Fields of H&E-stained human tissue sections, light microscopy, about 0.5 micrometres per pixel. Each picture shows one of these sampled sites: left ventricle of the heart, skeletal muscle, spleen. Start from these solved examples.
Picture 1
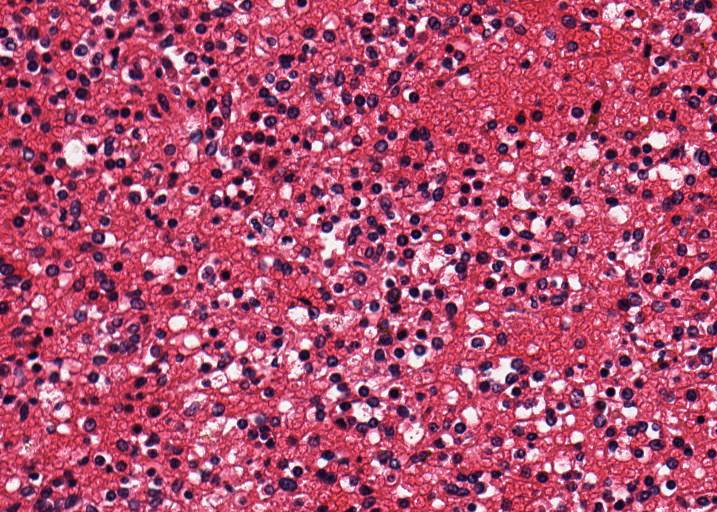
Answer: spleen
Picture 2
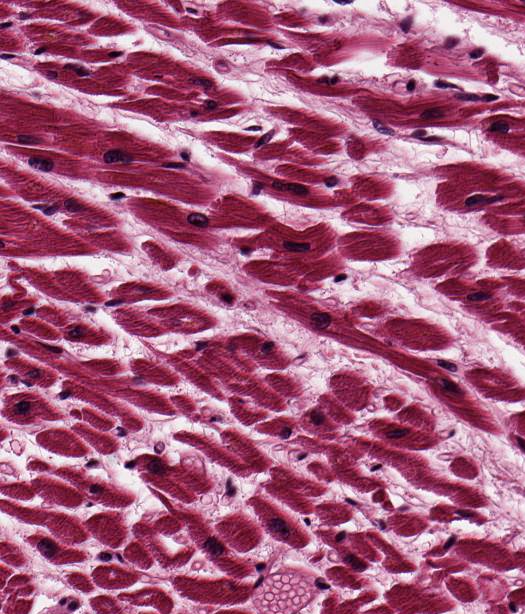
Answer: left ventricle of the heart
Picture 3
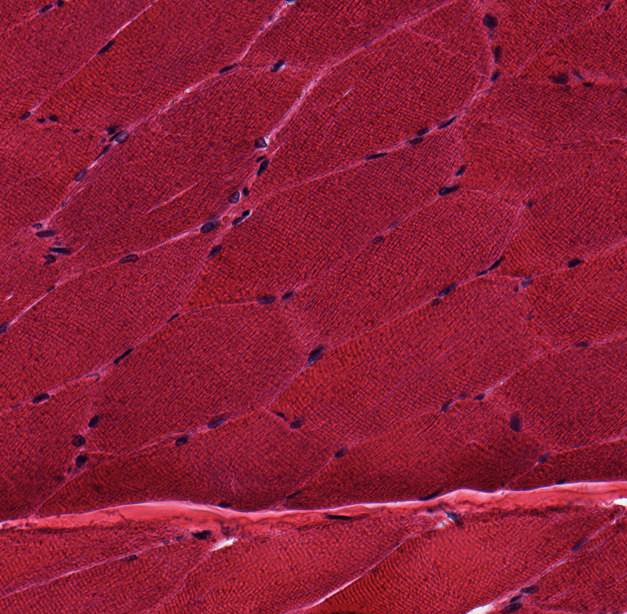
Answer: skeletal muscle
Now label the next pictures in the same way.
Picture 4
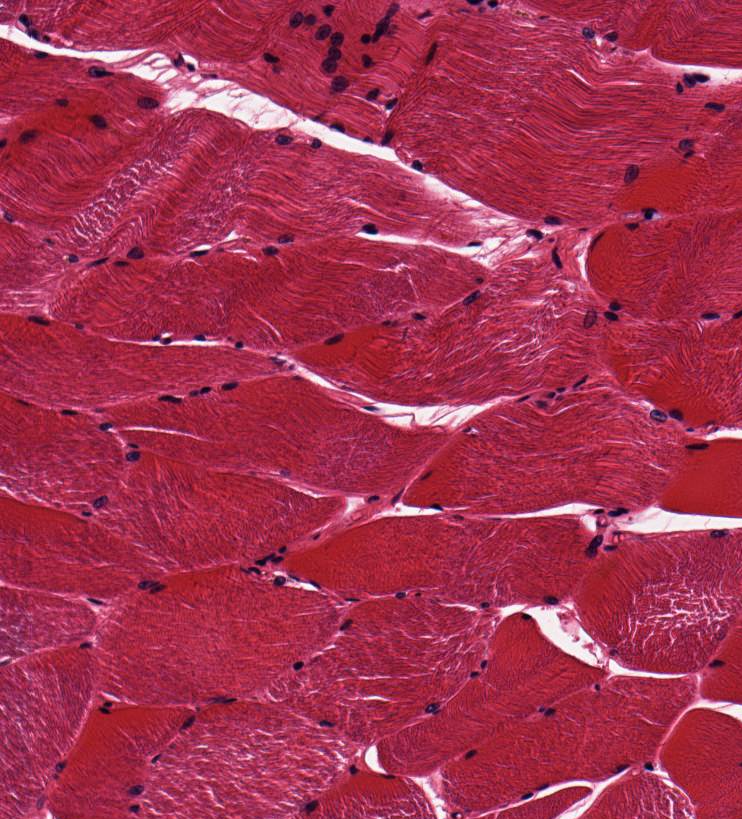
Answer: skeletal muscle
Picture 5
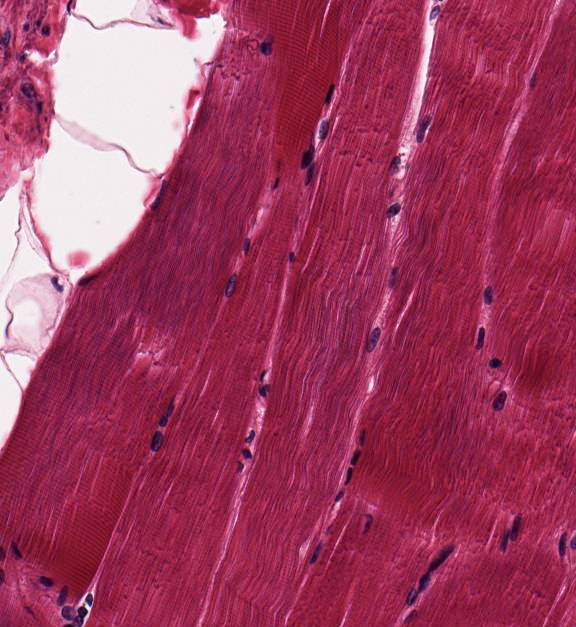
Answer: skeletal muscle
